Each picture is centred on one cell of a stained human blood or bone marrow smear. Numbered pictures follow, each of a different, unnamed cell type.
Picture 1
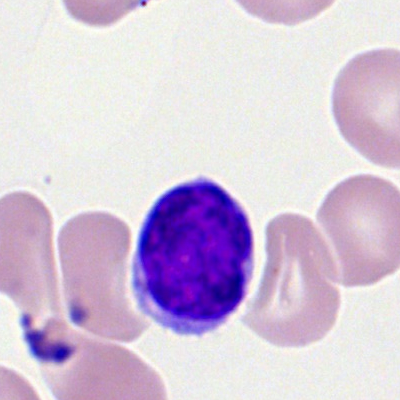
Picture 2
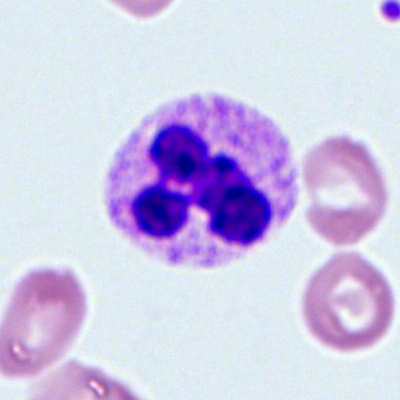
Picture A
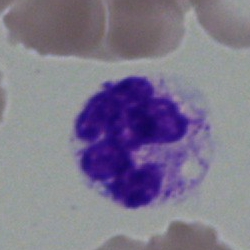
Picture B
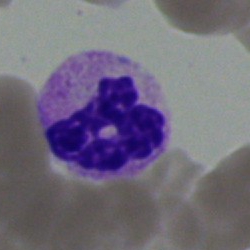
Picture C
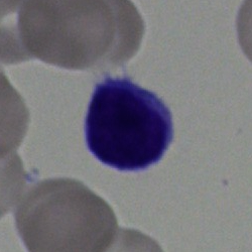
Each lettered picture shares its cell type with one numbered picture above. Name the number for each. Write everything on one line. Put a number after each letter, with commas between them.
A 2, B 2, C 1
